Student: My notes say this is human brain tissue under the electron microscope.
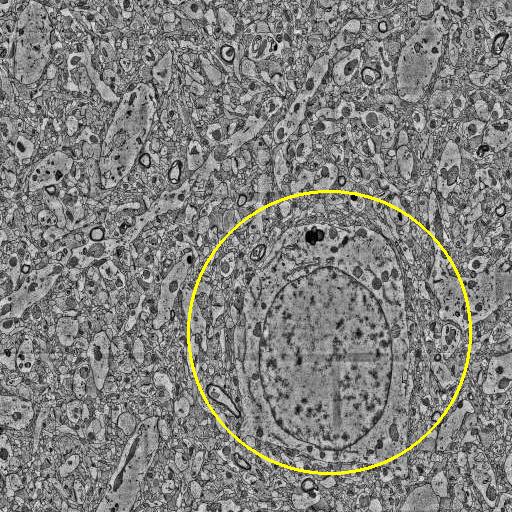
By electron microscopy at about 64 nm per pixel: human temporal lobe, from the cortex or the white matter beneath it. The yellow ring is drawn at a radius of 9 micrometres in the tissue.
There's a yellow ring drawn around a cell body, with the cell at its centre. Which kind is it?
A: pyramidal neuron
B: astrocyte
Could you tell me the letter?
A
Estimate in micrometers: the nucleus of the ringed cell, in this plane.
The nucleus is approximately 12 micrometers long by 9 micrometers wide in this plane.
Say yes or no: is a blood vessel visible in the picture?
No, no blood vessel can be seen.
